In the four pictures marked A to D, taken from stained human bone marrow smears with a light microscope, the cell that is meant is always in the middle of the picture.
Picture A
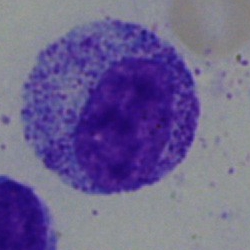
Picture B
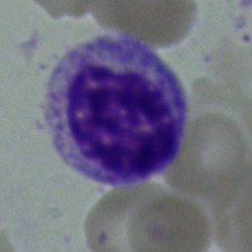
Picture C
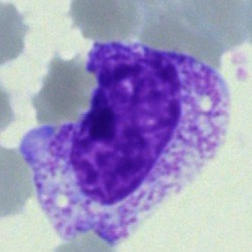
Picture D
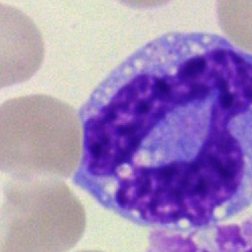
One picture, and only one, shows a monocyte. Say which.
D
